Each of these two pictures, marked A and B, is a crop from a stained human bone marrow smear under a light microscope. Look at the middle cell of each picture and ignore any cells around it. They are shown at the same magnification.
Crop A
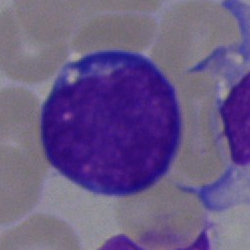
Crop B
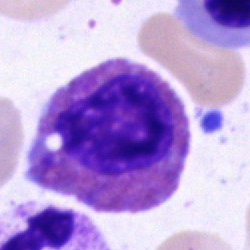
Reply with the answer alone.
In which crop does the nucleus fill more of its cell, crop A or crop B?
A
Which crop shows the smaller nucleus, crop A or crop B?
B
